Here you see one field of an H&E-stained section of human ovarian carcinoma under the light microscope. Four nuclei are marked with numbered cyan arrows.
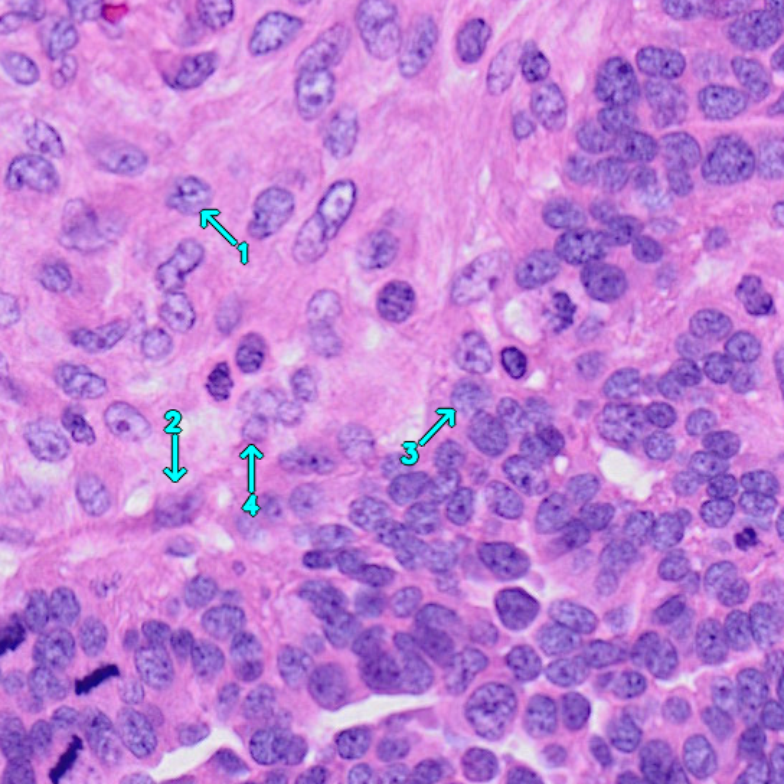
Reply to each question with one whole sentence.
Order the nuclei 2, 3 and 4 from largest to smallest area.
Going from the biggest nucleus down to the smallest gives 2, 3, 4.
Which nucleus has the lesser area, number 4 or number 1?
With nucleus 1 about 2.5 times its size, nucleus 4 is the smaller of the two.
